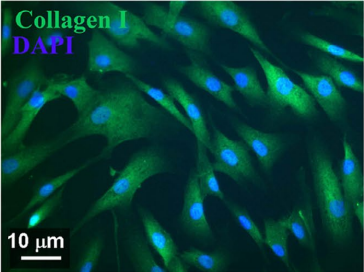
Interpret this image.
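These are cultured fibroblasts, spread out with long tapering processes reaching between neighbours. Their cytoplasm is filled with a granular green stain that is densest around the nucleus. Each cell has one oval blue nucleus, and the cells lie loosely, with dark gaps between them.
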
